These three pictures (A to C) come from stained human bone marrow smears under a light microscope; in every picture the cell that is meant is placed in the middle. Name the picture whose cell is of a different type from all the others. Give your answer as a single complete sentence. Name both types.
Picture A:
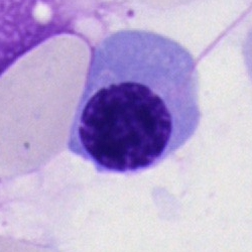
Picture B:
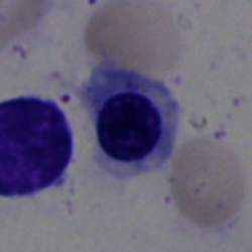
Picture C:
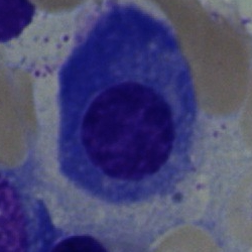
All pictures except C show erythroblasts; picture C shows a plasma cell.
